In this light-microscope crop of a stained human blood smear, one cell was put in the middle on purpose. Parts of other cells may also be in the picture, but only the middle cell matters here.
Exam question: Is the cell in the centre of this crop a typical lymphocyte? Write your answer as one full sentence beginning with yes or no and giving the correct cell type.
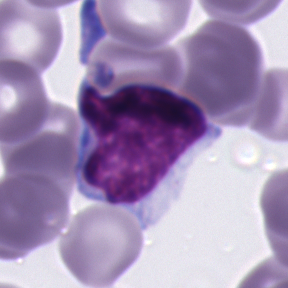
Yes, the identity of the central cell is that of a typical lymphocyte.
